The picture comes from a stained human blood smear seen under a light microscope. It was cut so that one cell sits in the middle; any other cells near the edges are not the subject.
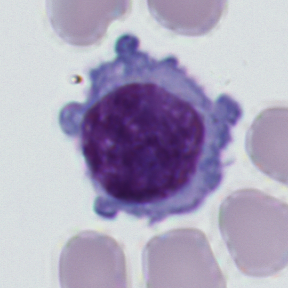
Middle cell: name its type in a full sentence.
The cell in the middle of the field of view is a plasma cell.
